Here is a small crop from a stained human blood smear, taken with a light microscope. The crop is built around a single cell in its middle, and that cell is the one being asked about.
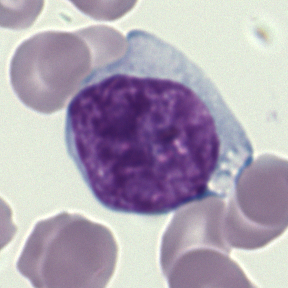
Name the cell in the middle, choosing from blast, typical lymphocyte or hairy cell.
blast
